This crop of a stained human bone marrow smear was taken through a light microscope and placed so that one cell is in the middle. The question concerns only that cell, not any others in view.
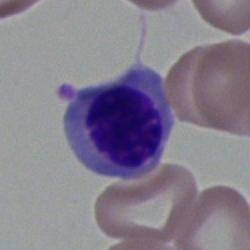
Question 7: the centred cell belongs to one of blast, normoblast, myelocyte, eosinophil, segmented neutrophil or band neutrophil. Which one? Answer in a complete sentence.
By classification, the middle cell of this crop is a normoblast.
